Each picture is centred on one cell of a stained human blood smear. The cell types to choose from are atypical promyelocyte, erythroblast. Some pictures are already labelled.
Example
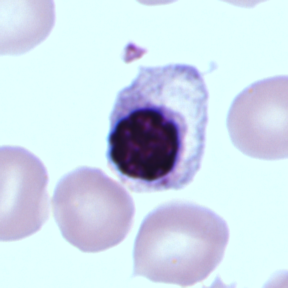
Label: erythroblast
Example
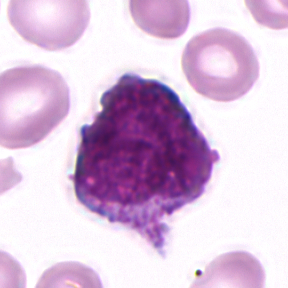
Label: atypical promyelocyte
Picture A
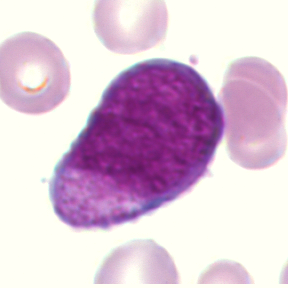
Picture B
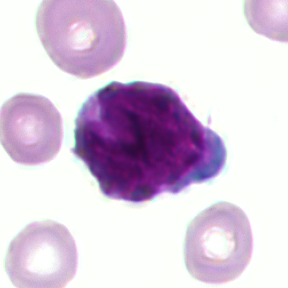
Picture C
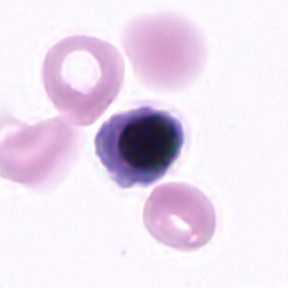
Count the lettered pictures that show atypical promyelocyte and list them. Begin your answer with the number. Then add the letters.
2: A, B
